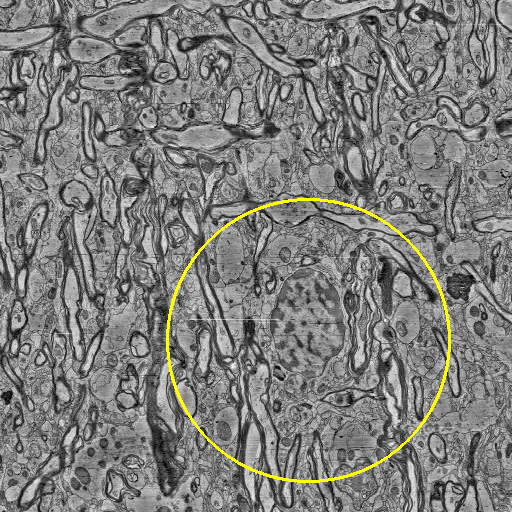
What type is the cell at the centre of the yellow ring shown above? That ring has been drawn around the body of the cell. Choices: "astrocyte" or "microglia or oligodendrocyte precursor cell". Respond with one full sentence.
My answer is that a microglial cell or oligodendrocyte precursor cell lies at the centre of the yellow ring above.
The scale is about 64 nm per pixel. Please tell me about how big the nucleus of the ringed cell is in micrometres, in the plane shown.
Roughly 7 by 5 micrometres is the size of the nucleus in this plane.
